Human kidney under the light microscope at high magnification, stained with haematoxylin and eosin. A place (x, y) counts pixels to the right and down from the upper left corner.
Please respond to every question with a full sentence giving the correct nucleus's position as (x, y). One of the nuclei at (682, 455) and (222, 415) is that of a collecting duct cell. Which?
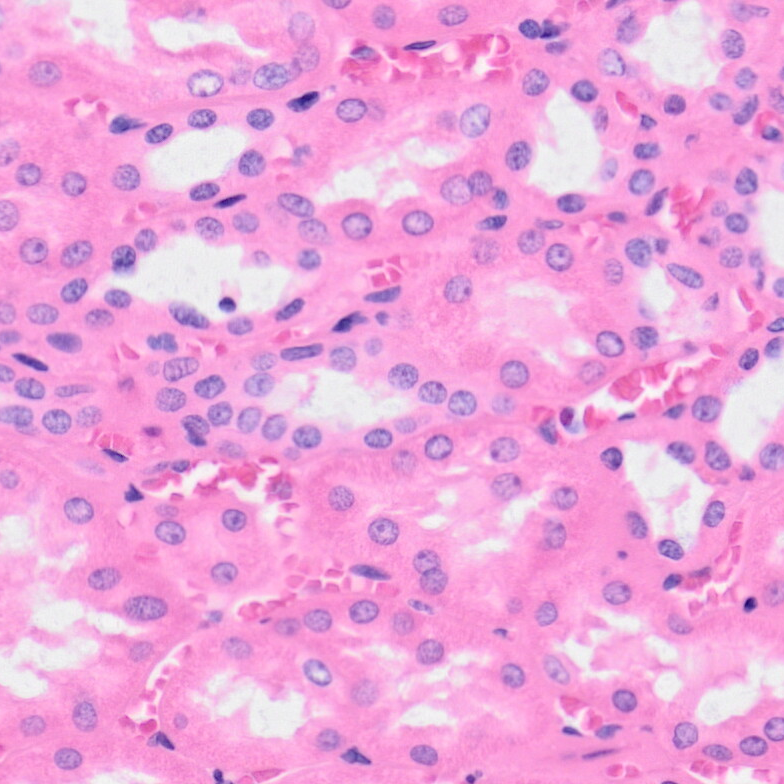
The nucleus that sits at (222, 415) is the nucleus of a collecting duct cell.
